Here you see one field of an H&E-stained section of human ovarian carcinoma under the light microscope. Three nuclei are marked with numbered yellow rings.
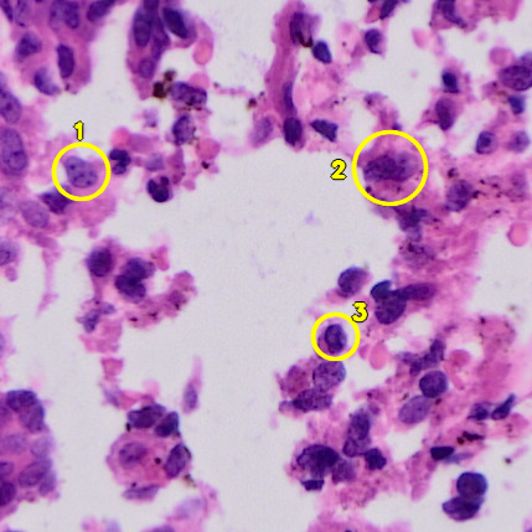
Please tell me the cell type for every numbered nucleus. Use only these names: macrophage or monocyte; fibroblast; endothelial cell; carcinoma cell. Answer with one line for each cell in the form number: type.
1: macrophage or monocyte
2: carcinoma cell
3: macrophage or monocyte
